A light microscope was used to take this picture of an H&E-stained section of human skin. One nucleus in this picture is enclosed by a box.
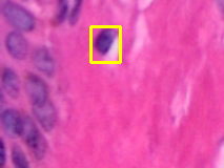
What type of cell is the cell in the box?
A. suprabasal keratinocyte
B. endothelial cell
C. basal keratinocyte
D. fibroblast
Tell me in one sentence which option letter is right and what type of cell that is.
Option D is correct in stating that the cell in the box is a fibroblast.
